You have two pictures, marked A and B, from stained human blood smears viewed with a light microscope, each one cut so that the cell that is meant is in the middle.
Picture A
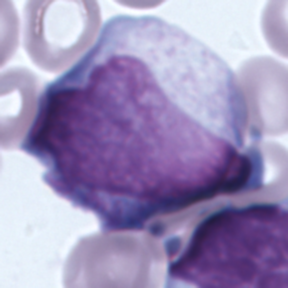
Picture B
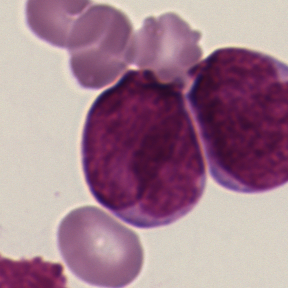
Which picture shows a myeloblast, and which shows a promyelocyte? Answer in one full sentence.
The cell in picture A is a promyelocyte, and the one in picture B is a myeloblast.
